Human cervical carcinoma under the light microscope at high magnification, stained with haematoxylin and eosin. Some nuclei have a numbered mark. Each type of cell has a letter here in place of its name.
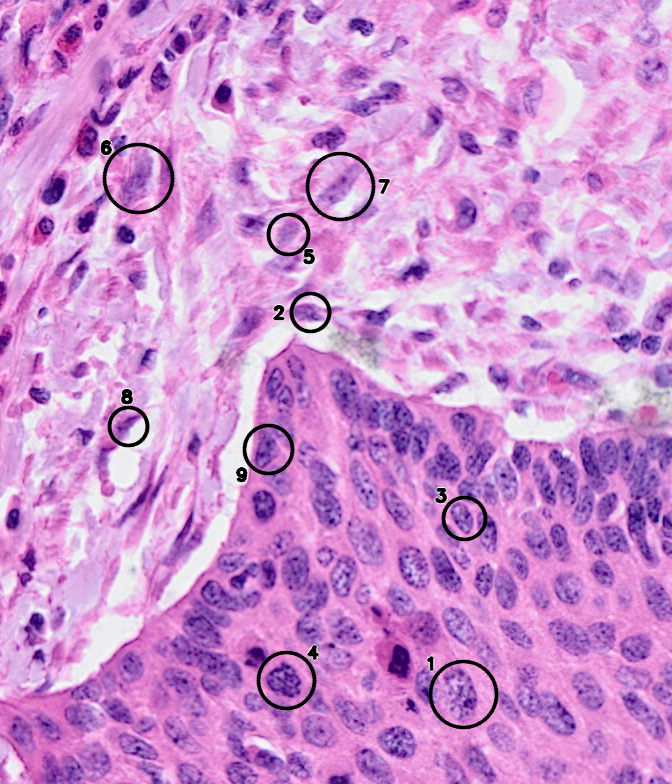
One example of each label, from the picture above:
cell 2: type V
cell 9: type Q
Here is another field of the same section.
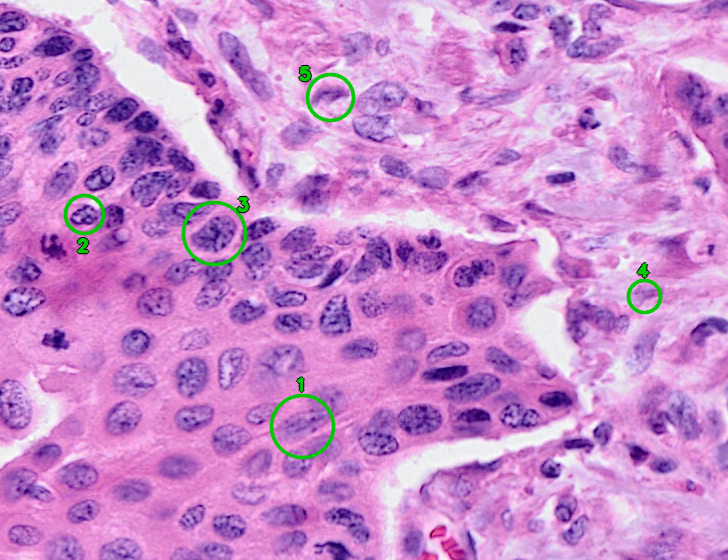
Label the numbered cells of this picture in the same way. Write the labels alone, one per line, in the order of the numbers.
type Q
type Q
type Q
type V
type V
